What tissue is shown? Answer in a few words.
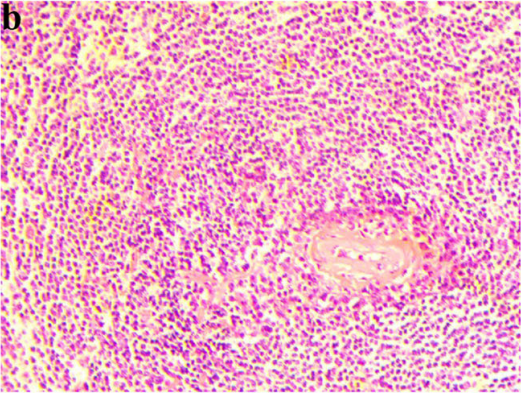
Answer: White pulp of the spleen.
